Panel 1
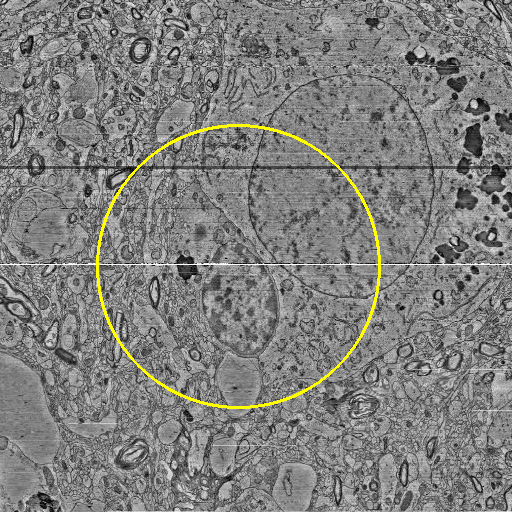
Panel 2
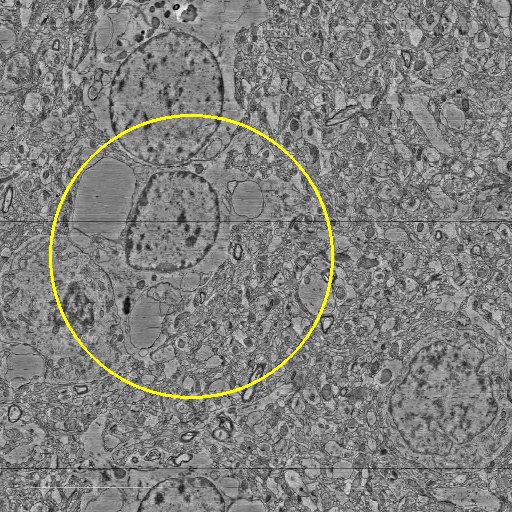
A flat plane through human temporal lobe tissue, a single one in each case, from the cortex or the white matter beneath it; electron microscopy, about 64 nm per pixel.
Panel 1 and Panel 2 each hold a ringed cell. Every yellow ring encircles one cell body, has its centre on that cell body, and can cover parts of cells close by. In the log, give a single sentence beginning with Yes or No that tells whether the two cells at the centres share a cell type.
No, in Panel 1 and Panel 2 the centred cells are of two cell types.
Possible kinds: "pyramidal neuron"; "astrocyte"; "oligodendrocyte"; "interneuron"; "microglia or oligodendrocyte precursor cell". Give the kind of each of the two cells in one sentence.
The cell in the second picture is an astrocyte, and that in the first is an oligodendrocyte.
